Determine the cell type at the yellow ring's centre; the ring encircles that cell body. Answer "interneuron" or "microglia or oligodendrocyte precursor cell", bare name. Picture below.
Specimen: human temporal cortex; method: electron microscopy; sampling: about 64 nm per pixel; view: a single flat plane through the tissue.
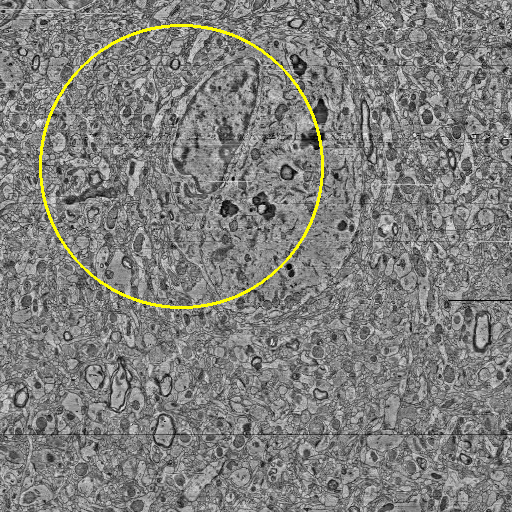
microglia or oligodendrocyte precursor cell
